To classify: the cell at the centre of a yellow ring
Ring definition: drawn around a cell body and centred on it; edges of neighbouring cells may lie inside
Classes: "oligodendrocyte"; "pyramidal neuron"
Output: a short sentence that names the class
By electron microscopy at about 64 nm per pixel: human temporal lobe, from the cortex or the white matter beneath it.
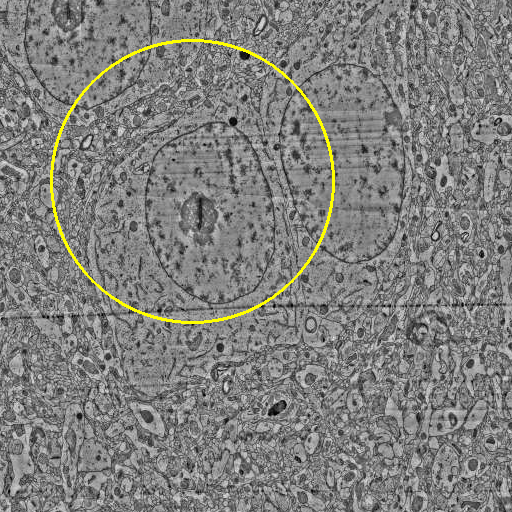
The ringed cell is a pyramidal neuron.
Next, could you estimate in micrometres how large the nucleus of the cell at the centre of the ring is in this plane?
The nucleus comes to roughly 12 by 9 micrometres in this plane.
